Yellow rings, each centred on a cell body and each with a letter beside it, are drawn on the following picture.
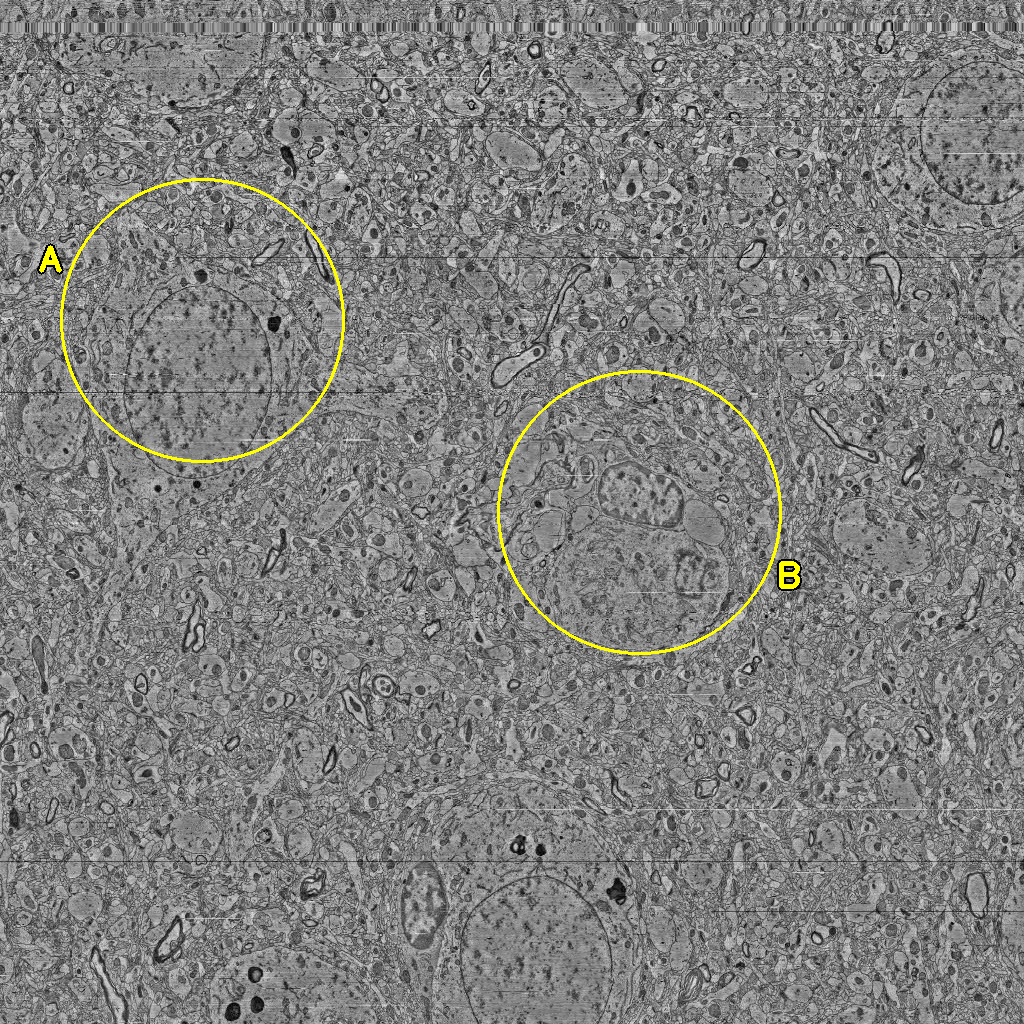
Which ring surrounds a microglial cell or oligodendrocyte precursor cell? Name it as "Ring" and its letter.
Ring B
